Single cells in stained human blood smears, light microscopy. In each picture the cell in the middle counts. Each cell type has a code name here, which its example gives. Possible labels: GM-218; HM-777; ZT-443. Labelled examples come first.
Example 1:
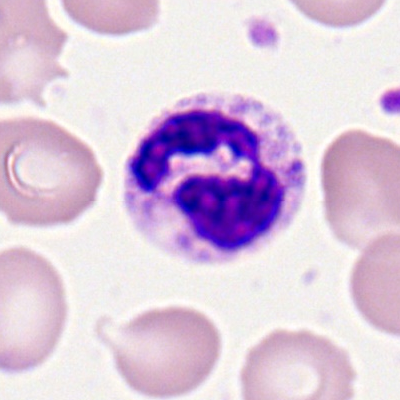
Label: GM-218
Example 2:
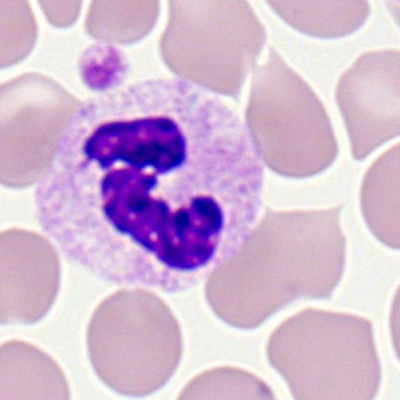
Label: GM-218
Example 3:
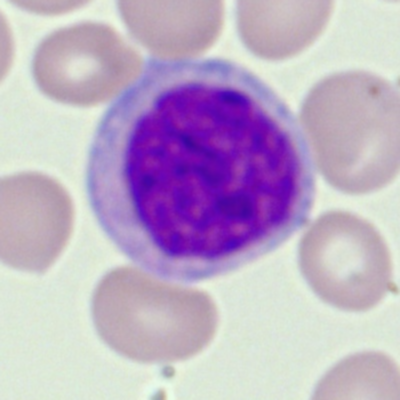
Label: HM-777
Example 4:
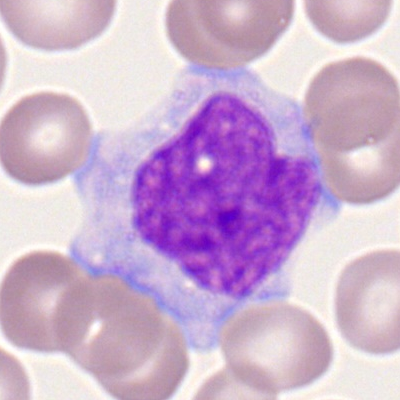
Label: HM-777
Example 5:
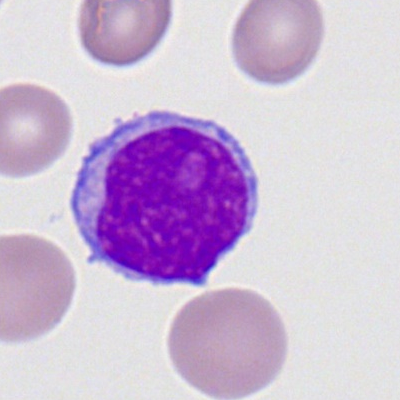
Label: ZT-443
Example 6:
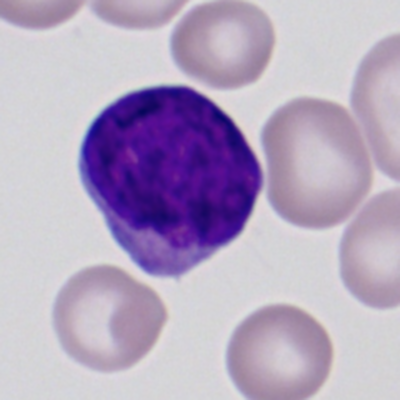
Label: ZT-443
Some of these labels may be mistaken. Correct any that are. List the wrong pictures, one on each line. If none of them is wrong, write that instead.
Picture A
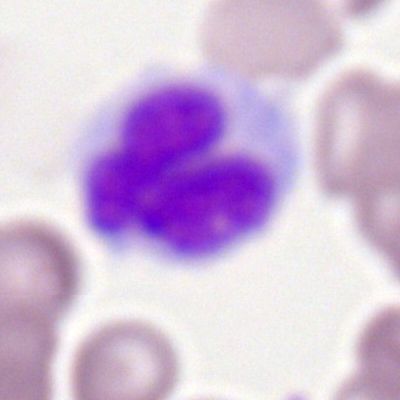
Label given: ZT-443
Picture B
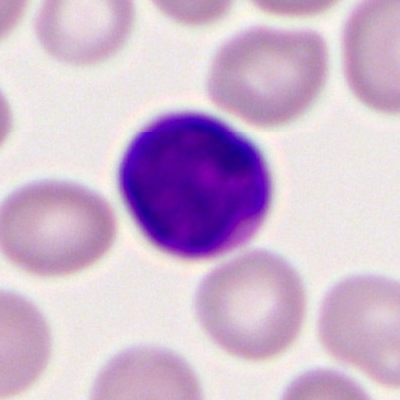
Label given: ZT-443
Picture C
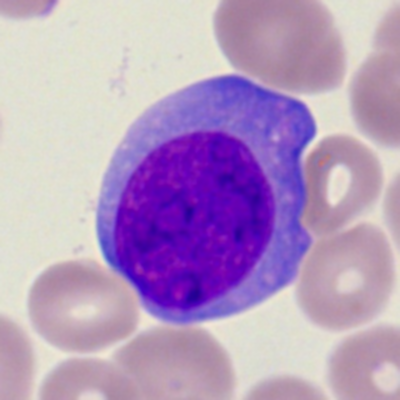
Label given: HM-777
A should be HM-777, not ZT-443
C should be ZT-443, not HM-777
